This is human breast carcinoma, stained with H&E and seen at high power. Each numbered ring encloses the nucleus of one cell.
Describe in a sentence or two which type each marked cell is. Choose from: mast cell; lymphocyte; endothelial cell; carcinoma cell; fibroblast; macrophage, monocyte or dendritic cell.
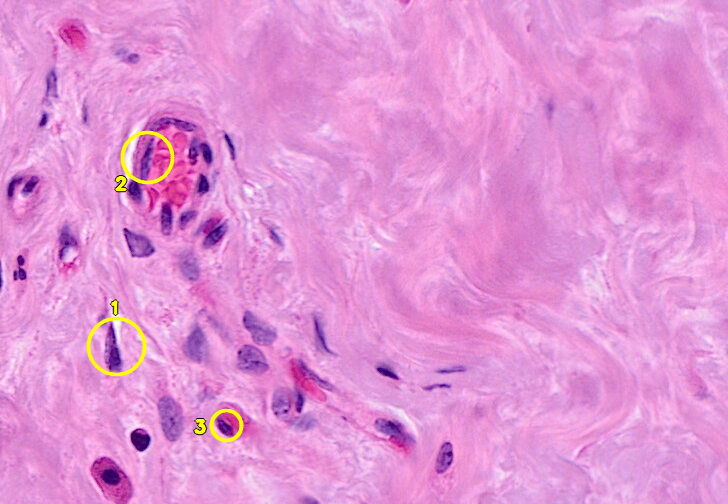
Cell 1 is a fibroblast. Cells 2 and 3 are endothelial cells.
